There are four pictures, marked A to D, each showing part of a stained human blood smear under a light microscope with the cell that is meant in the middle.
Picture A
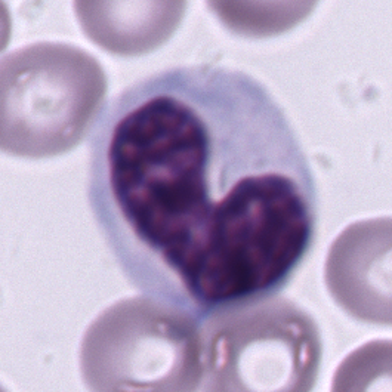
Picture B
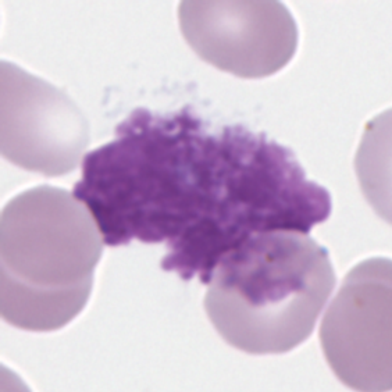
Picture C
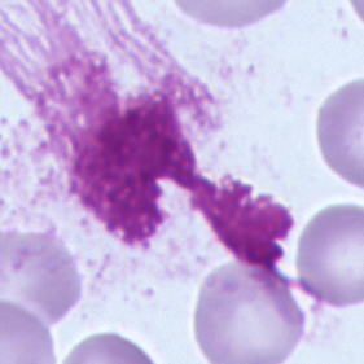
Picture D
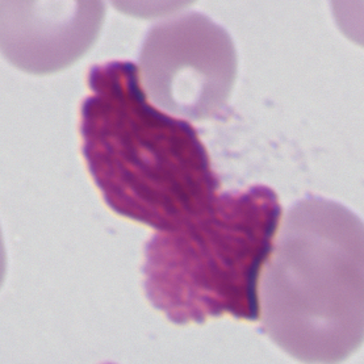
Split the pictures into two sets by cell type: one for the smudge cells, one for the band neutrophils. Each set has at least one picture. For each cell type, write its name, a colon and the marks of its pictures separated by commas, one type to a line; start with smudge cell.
smudge cell: B, C, D
band neutrophil: A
